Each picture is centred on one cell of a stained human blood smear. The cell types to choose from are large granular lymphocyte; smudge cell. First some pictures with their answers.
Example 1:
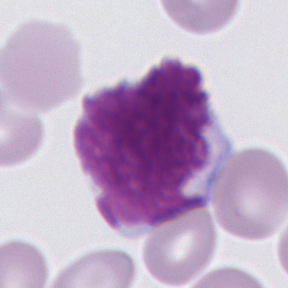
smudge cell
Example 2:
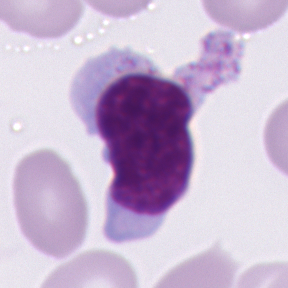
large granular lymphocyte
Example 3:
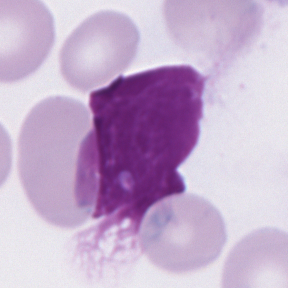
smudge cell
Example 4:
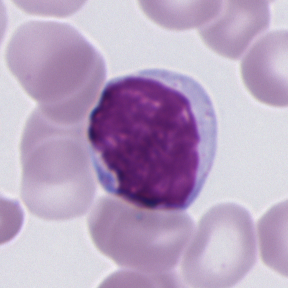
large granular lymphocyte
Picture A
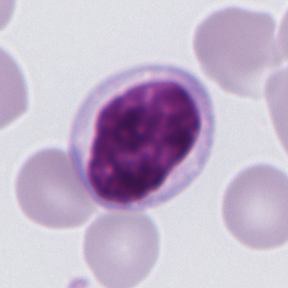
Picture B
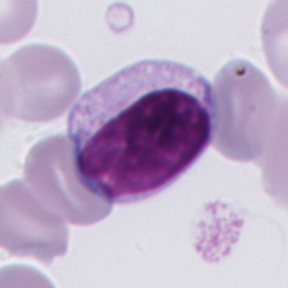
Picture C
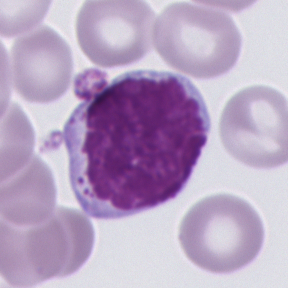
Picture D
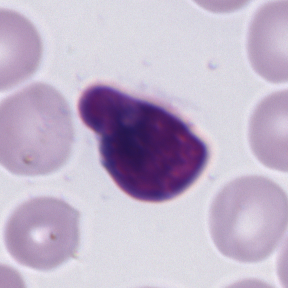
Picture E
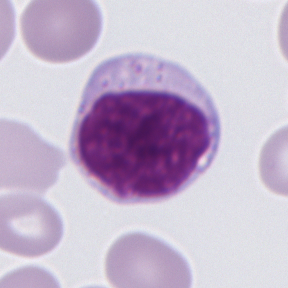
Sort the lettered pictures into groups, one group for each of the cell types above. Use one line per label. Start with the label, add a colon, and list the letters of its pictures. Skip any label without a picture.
large granular lymphocyte: A, B, C, E
smudge cell: D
